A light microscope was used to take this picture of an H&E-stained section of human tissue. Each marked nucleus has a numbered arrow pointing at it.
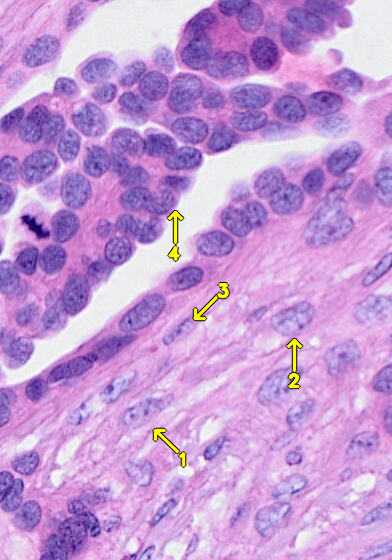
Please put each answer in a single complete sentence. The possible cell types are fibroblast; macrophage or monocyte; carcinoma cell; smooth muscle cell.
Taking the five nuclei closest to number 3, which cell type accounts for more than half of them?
Most of the five nuclei nearest to number 3 are those of carcinoma cells.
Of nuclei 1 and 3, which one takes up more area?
Number 1 is larger; its area is about 2 times that of number 3.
